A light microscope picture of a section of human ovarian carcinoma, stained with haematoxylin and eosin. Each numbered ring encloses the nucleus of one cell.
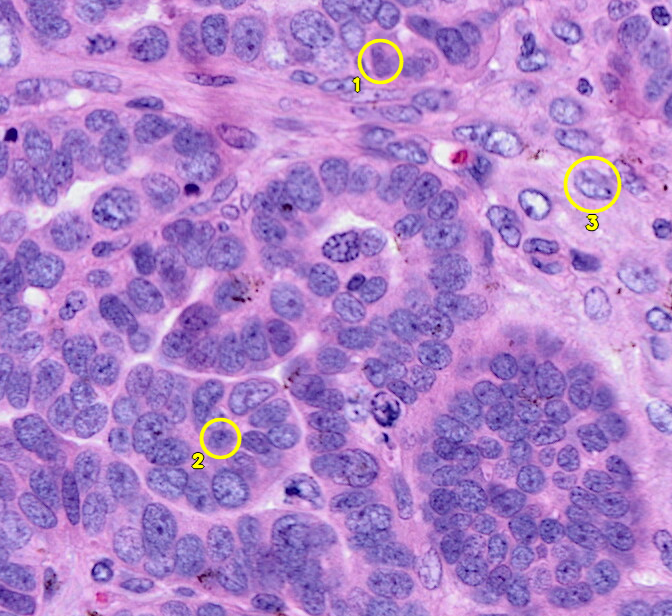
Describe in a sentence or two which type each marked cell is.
Cells 1 and 2 are carcinoma cells. Cell 3 is a fibroblast.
